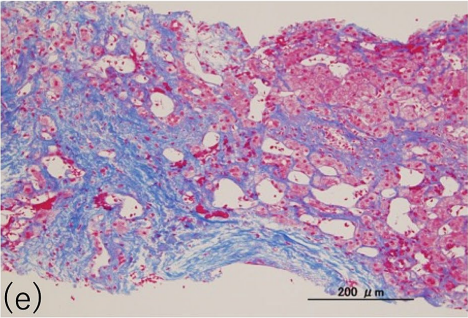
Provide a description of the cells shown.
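This liver biopsy core shows hepatic parenchyma with marked scarring of the sinusoids. Between the cell plates lie numerous enlarged, empty or blood-containing spaces, the widened sinusoids, giving the tissue a sieve-like, disrupted appearance. Red blood cells appear as small bright red dots within some spaces. The normal orderly cords of liver cells are largely lost where fibrosis is densest, in the left and lower part of the core.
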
